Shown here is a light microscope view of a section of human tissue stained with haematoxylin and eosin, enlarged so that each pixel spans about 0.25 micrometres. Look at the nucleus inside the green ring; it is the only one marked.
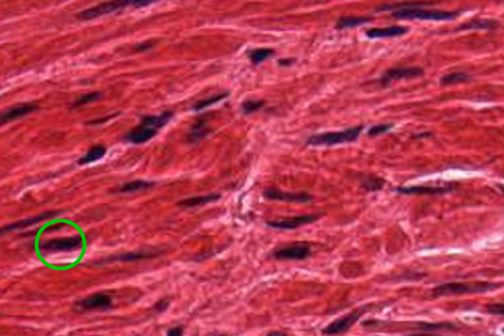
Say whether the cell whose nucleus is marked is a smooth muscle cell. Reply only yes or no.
yes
